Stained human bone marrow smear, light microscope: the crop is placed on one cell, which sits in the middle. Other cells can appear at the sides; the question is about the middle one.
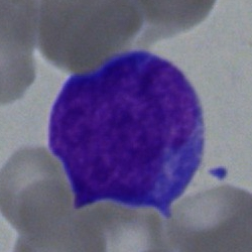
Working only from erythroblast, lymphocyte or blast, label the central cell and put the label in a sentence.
The cell of interest, in the center, is a blast.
